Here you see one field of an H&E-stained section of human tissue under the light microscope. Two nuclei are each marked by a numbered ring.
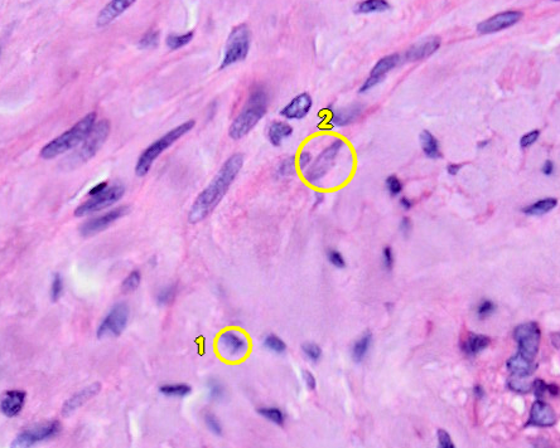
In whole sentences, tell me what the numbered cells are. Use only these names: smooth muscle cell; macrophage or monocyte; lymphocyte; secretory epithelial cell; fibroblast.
Cell 1 is a fibroblast. Cell 2 is a smooth muscle cell.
